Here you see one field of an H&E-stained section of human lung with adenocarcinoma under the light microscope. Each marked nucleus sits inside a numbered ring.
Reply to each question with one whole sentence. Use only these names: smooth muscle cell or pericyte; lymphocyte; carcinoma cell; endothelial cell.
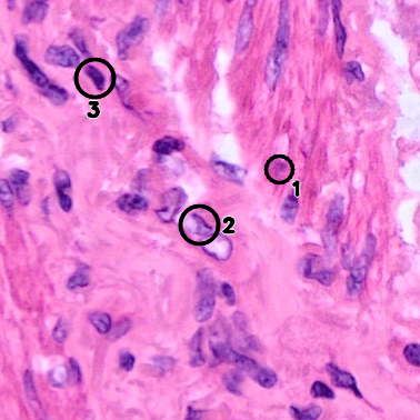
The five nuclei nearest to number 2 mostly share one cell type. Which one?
Endothelial cells make up most of the five nuclei closest to number 2.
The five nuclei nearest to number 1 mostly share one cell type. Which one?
Smooth muscle cells or pericytes make up most of the five nuclei closest to number 1.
